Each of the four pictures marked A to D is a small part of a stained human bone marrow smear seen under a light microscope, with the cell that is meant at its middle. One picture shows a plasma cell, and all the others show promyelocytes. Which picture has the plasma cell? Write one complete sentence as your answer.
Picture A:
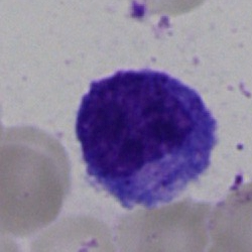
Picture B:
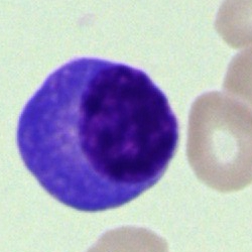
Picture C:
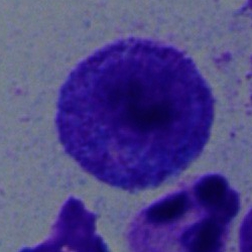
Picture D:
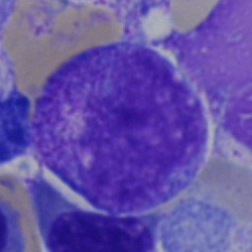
The picture with the plasma cell is B.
